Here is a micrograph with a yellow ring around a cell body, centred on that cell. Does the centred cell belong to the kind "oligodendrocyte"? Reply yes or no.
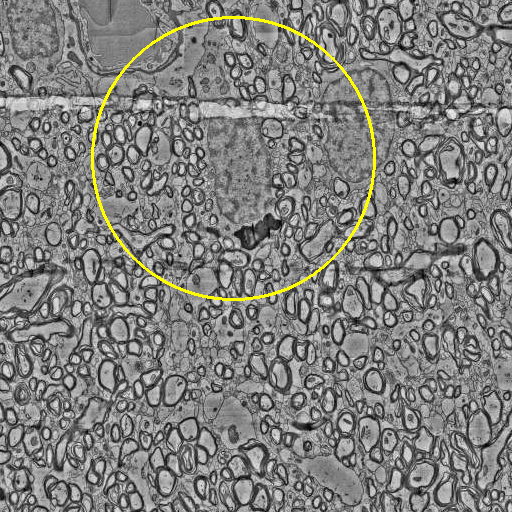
yes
